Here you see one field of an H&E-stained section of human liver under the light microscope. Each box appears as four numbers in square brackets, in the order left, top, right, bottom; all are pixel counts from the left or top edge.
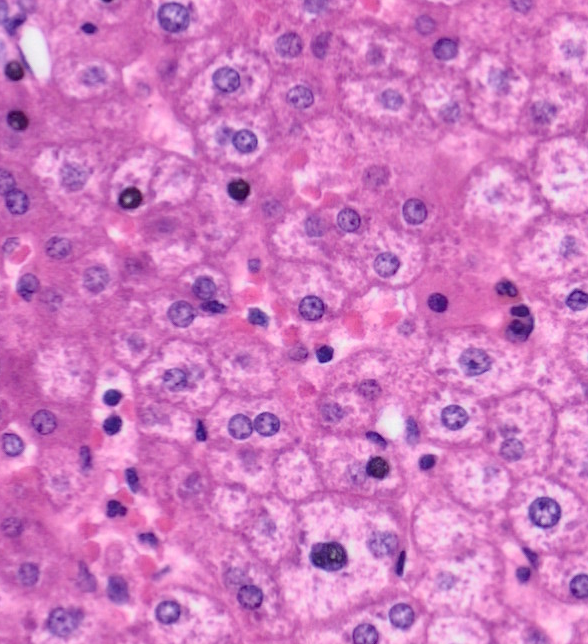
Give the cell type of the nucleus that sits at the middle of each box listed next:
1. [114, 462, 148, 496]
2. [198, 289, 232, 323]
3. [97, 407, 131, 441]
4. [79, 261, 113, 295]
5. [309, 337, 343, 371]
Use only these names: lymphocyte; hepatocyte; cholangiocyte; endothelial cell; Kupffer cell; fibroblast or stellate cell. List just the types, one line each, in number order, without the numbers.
endothelial cell
fibroblast or stellate cell
lymphocyte
hepatocyte
lymphocyte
